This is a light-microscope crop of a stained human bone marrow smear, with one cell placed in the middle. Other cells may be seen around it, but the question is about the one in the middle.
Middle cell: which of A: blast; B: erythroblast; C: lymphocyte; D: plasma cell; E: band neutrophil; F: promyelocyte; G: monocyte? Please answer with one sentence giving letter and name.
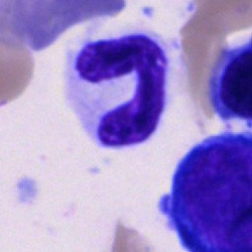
Option E is the correct one; it names the central cell as a band neutrophil.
